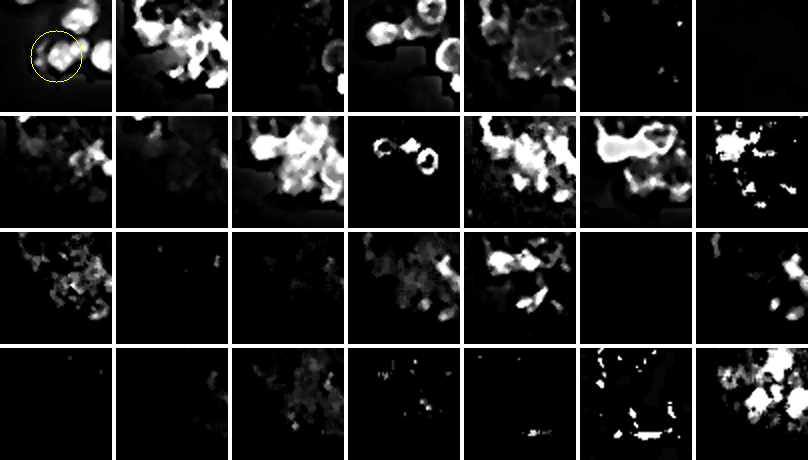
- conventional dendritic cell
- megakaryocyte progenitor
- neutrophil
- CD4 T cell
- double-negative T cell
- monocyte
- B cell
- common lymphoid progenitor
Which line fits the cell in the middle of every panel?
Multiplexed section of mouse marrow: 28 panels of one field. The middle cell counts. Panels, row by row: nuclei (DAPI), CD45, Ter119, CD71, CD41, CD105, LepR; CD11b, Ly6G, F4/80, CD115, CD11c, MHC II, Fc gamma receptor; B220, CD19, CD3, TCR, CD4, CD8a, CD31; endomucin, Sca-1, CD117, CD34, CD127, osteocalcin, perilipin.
conventional dendritic cell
